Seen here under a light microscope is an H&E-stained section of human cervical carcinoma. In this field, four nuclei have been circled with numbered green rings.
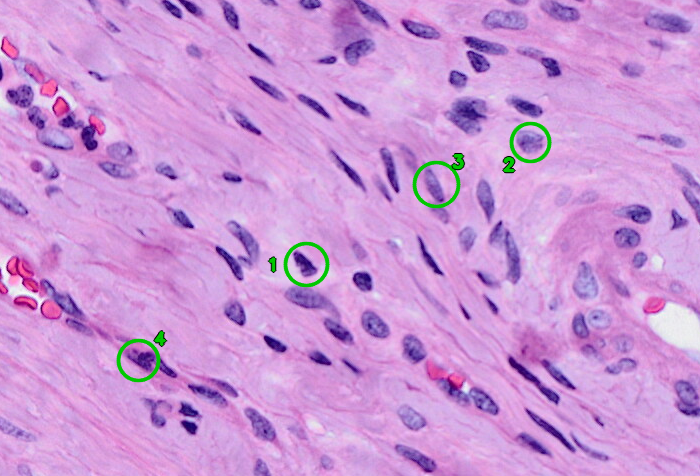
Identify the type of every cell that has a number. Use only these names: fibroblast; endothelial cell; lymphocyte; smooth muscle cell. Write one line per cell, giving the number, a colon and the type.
1: lymphocyte
2: fibroblast
3: fibroblast
4: endothelial cell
